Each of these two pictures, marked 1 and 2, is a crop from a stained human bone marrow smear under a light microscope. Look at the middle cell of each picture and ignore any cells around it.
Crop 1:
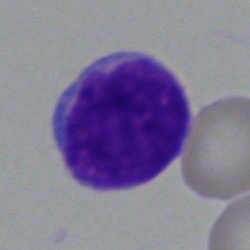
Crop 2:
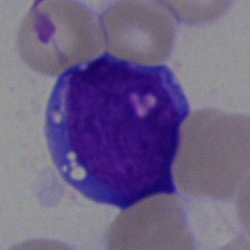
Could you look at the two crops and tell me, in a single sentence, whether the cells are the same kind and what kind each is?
Yes, blasts are shown in both crops.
